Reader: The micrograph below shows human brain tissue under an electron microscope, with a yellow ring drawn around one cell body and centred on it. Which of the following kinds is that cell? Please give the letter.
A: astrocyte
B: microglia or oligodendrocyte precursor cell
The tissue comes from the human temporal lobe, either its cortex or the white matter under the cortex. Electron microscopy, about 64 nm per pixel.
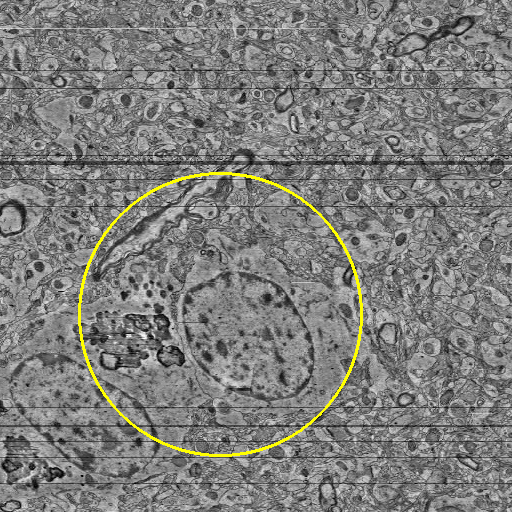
A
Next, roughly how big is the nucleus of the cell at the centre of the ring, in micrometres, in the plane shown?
Approximately 10 x 7 micrometres in this plane.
